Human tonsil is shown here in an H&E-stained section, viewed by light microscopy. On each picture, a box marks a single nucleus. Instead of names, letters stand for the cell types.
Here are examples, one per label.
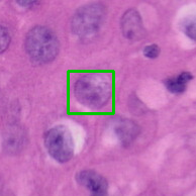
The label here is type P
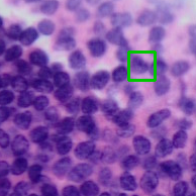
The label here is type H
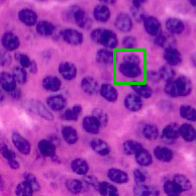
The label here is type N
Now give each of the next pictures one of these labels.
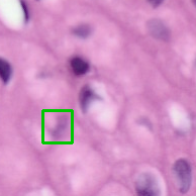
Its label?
type P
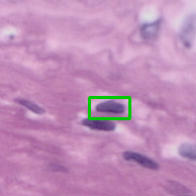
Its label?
type P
